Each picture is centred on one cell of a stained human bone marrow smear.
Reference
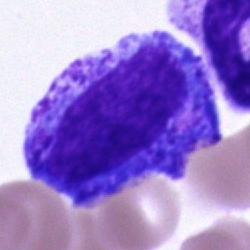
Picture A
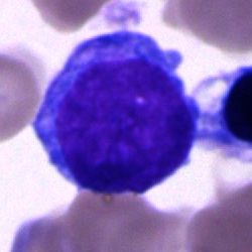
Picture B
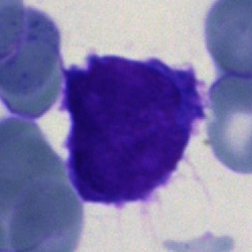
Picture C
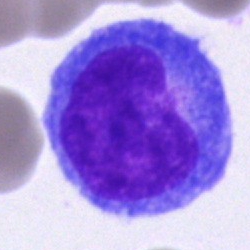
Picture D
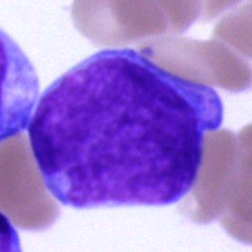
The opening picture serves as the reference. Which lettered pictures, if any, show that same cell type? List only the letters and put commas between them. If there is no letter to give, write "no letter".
no letter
